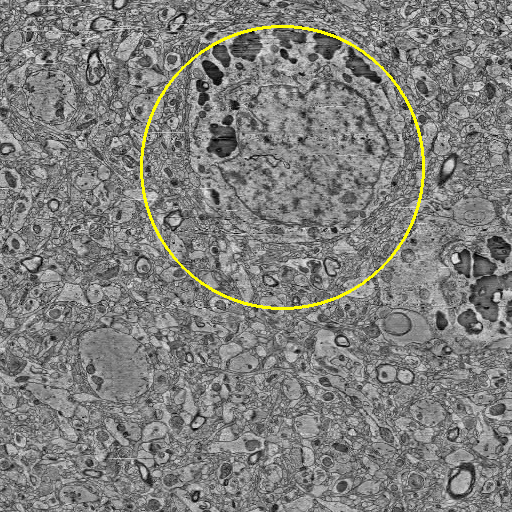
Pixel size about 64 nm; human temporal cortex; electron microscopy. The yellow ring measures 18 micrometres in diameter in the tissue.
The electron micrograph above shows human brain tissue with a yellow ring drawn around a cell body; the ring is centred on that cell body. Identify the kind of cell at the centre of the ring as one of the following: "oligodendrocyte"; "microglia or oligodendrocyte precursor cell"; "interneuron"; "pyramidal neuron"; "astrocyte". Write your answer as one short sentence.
The cell at the centre of the ring is an interneuron.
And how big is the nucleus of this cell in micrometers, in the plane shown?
In this plane, roughly 13 by 11 micrometres.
